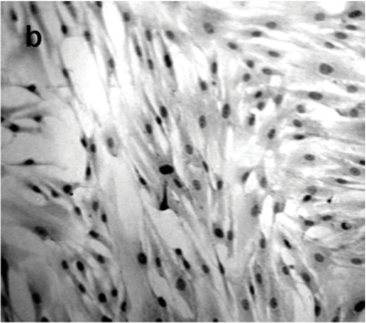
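Cultured fibroblasts in a dense, near-confluent monolayer, shown in greyscale. Cells are slender and spindle-shaped, closely packed in parallel and swirling streams. Cytoplasm is pale and narrow, tapering at both ends. The overall pattern is an orderly, crowded sheet of uniform small cells.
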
